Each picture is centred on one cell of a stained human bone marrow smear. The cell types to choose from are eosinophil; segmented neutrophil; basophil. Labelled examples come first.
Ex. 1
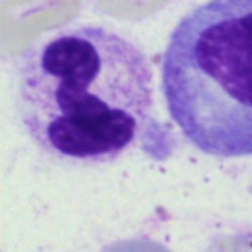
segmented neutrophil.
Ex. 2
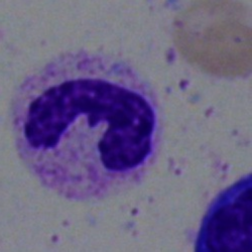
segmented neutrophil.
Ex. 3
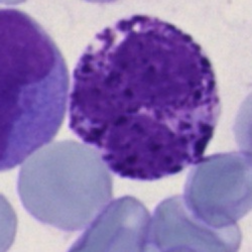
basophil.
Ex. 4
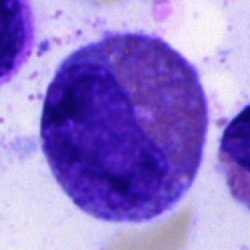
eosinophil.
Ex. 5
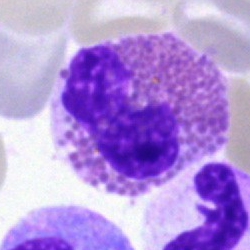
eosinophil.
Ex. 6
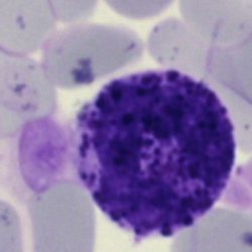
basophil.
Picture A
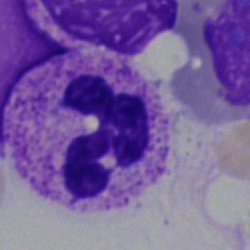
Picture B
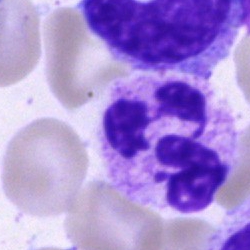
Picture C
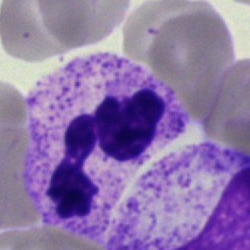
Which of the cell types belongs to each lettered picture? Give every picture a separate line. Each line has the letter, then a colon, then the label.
A: segmented neutrophil.
B: segmented neutrophil.
C: segmented neutrophil.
